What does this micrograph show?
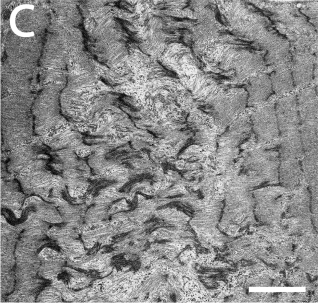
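This is skeletal muscle fibre at the ultrastructural level showing sarcomeric pathology with focal myofibrillar dissolution. At the edges of the field some myofibrils still show striations, though their dark transverse lines are wavy and out of register. In the centre the regular sarcomeric pattern is lost: filaments run in tangled, swirling directions and the banding has disappeared. Dark dense material lies scattered as twisted, irregular fragments and streaks instead of straight Z-discs. The orderly parallel alignment of myofibrils seen in normal muscle is absent over much of the field.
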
